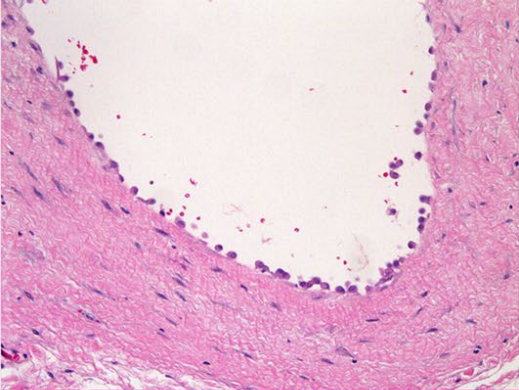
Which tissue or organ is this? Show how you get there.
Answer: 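Single layer of cuboidal to single layer squamous epithelium. A single row of cells lines the edge of a large empty space. The lining cells range from rounded-cuboidal to flattened. Beneath the lining lies dense pink fibrous tissue with sparse spindle nuclei.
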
